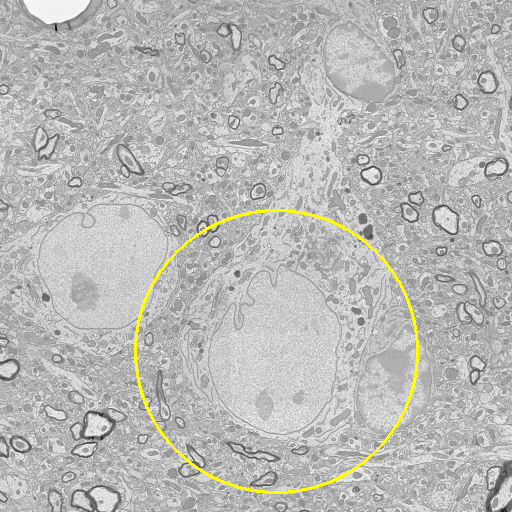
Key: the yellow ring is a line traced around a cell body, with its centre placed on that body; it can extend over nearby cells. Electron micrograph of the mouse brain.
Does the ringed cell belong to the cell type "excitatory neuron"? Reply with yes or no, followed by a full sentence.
Yes, the cell at the centre of the yellow ring in the picture is of that type.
